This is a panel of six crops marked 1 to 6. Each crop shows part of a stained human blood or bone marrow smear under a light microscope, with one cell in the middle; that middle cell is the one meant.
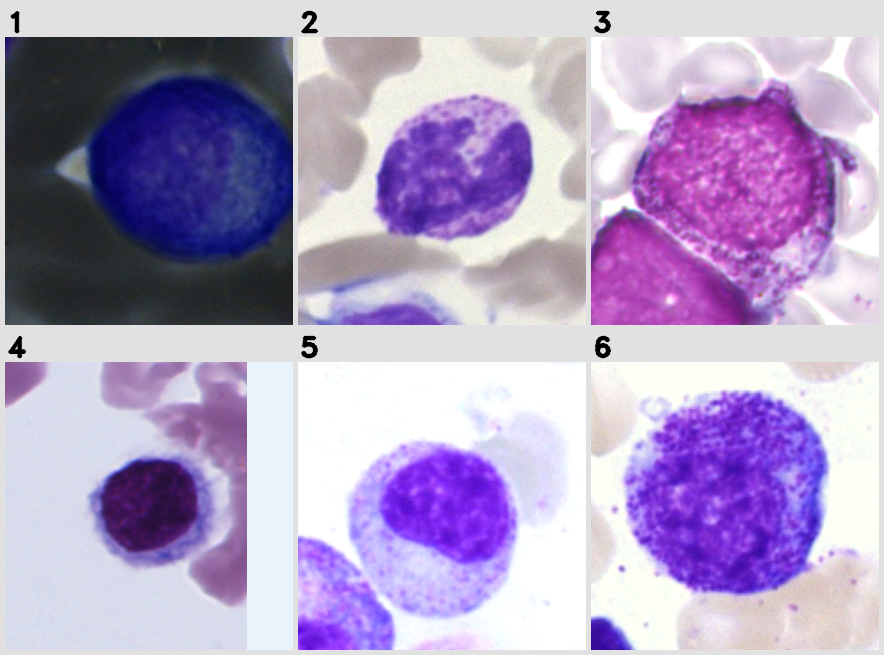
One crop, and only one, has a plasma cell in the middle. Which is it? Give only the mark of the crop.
1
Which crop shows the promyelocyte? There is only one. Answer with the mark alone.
6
